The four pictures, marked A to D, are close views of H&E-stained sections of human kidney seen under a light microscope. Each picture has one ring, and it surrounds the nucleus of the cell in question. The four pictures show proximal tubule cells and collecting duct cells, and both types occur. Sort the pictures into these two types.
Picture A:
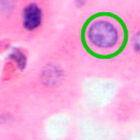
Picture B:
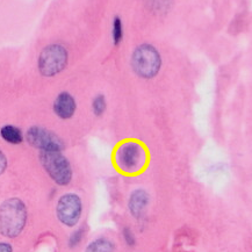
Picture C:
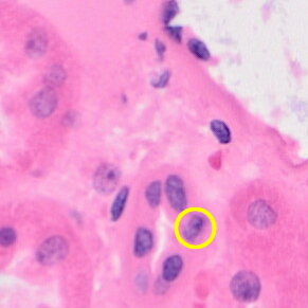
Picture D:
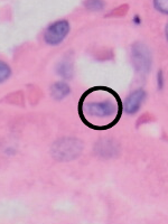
A: proximal tubule cell
B: collecting duct cell
C: collecting duct cell
D: collecting duct cell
